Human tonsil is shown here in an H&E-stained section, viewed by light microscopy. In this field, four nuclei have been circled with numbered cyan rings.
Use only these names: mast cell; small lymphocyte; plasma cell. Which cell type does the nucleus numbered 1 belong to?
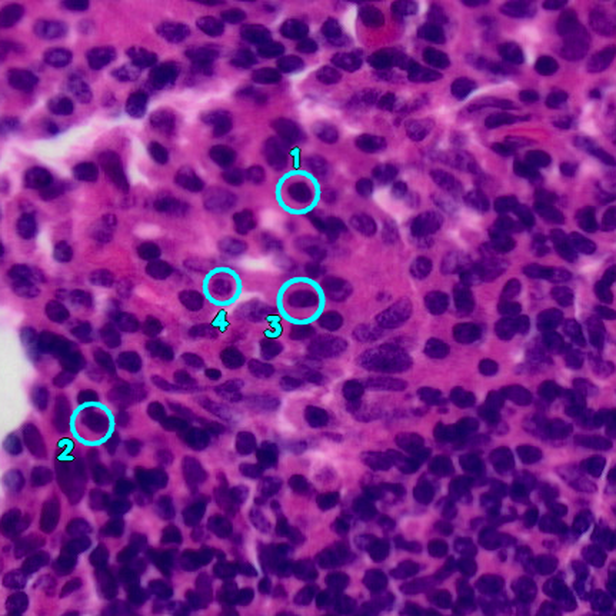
plasma cell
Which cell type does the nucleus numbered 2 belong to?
small lymphocyte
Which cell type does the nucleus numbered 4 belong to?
plasma cell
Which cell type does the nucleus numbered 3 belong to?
plasma cell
